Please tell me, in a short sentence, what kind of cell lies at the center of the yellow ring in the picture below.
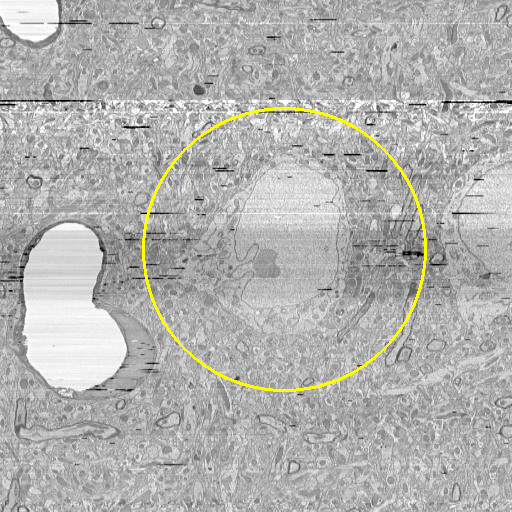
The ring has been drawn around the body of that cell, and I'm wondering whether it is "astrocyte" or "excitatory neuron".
The cell at the center of the ring is an excitatory neuron.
